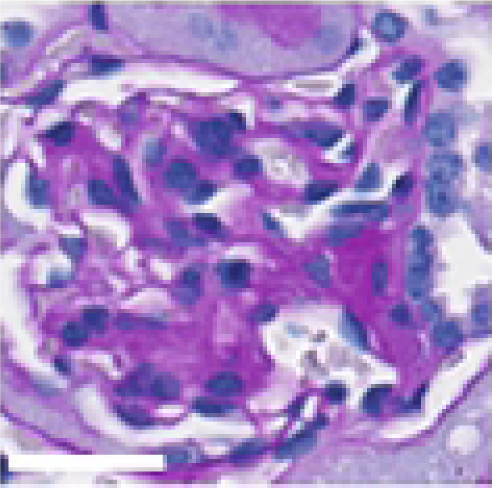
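A renal glomerulus fills Bowman's capsule, its tuft dominated by broad, confluent magenta-staining matrix. Dark blue nuclei are embedded in and around this matrix, and only a few small open capillary lumens remain; tubules with bluish cytoplasm lie at the edges.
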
